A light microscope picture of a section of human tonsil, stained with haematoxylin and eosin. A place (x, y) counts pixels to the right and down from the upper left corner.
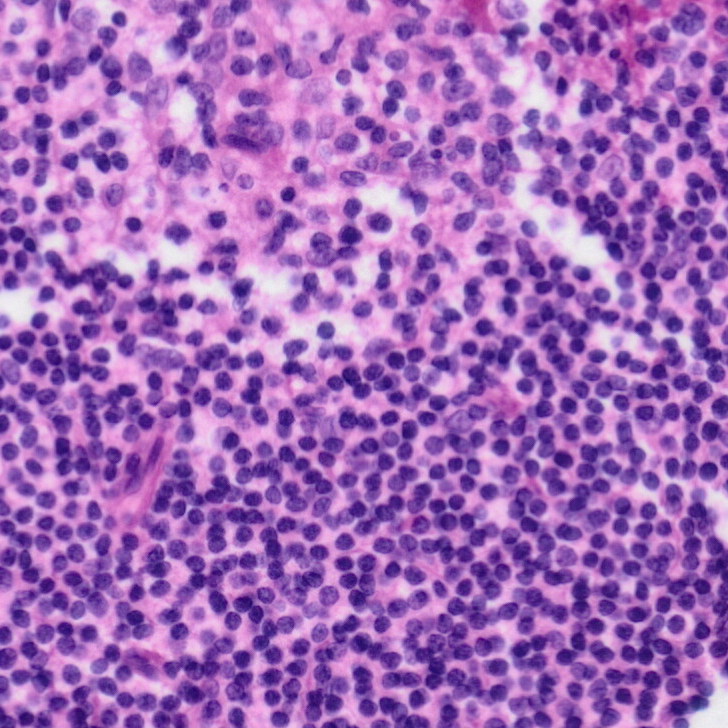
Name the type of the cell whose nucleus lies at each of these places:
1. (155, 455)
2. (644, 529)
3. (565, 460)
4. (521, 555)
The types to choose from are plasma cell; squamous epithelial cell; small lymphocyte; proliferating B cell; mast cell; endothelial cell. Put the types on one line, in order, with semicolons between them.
endothelial cell; small lymphocyte; small lymphocyte; small lymphocyte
